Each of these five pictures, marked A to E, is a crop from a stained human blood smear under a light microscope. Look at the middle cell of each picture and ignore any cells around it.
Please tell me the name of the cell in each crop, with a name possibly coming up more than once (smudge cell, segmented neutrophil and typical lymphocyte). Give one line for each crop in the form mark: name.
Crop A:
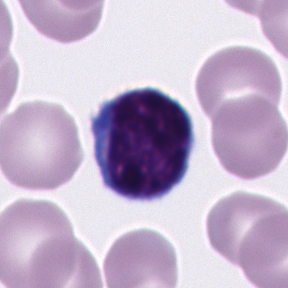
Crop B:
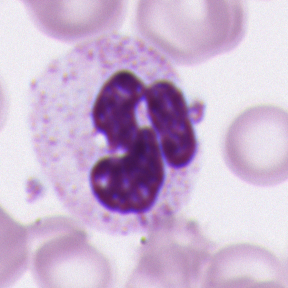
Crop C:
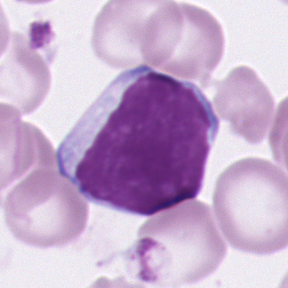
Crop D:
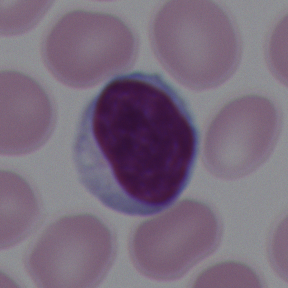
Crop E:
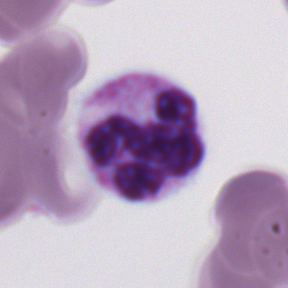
A: typical lymphocyte
B: segmented neutrophil
C: typical lymphocyte
D: typical lymphocyte
E: segmented neutrophil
